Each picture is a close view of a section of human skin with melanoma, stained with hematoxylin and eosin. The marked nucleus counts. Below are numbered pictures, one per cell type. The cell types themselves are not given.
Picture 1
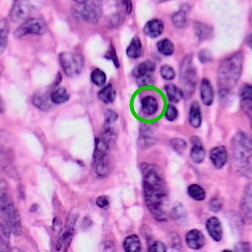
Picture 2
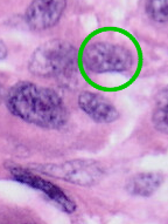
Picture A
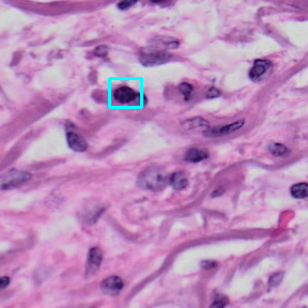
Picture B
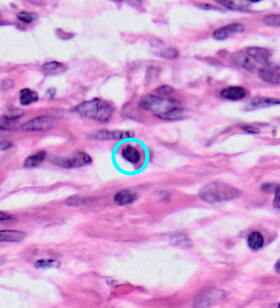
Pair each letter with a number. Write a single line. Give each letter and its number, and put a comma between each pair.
A 1, B 1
